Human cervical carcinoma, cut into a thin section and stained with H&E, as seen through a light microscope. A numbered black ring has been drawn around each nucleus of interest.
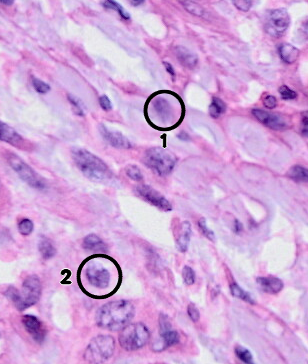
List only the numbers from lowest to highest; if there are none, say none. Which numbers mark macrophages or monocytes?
2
